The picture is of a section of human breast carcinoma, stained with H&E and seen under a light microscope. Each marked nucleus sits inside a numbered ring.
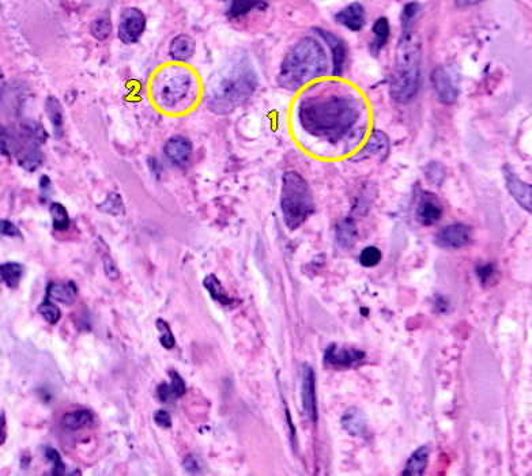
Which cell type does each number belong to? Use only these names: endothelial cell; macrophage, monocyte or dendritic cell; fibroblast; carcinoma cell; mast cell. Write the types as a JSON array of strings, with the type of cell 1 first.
["carcinoma cell", "macrophage, monocyte or dendritic cell"]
